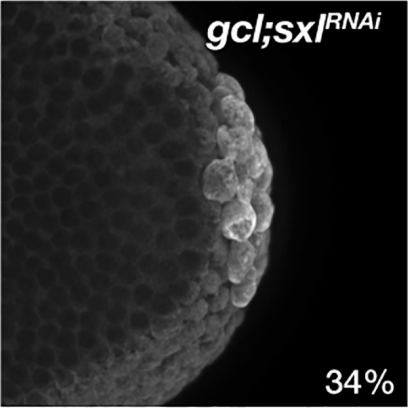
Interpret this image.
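The end of an embryo is shown, covered by a sheet of small polygonal surface cells. At the tip a smaller group of bright, rounded pole cells bulges out from the surface. These cells are larger than their neighbours and somewhat irregular in outline, and they are fewer than a full cluster would hold.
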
